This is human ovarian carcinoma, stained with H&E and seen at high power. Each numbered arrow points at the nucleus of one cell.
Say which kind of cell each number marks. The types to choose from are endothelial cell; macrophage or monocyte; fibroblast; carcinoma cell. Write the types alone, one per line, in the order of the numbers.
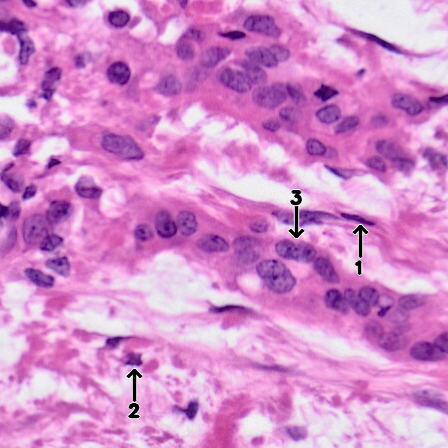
fibroblast
fibroblast
carcinoma cell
